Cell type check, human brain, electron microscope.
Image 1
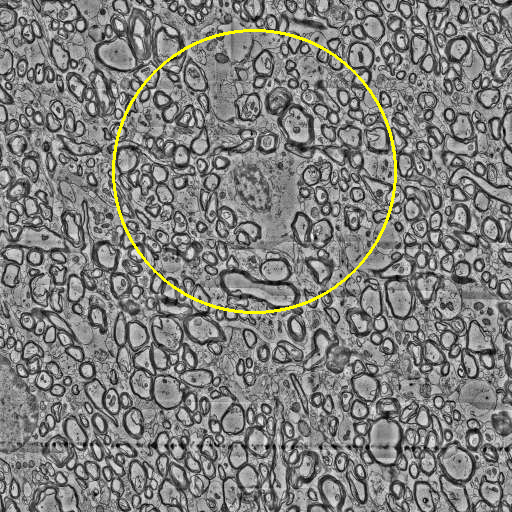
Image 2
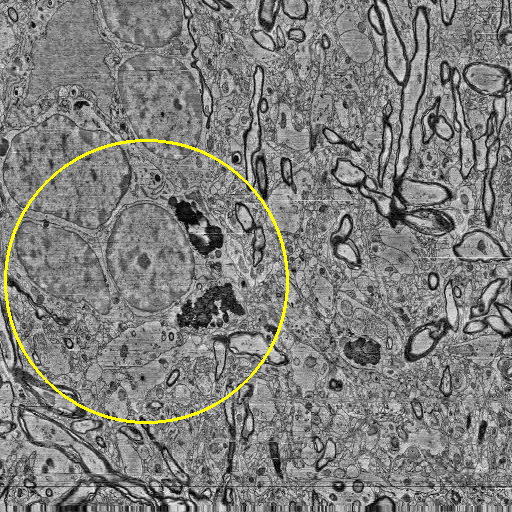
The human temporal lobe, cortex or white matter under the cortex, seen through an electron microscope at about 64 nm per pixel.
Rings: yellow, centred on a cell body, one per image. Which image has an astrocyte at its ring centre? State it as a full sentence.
The ring in Image 1 is centred on it.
